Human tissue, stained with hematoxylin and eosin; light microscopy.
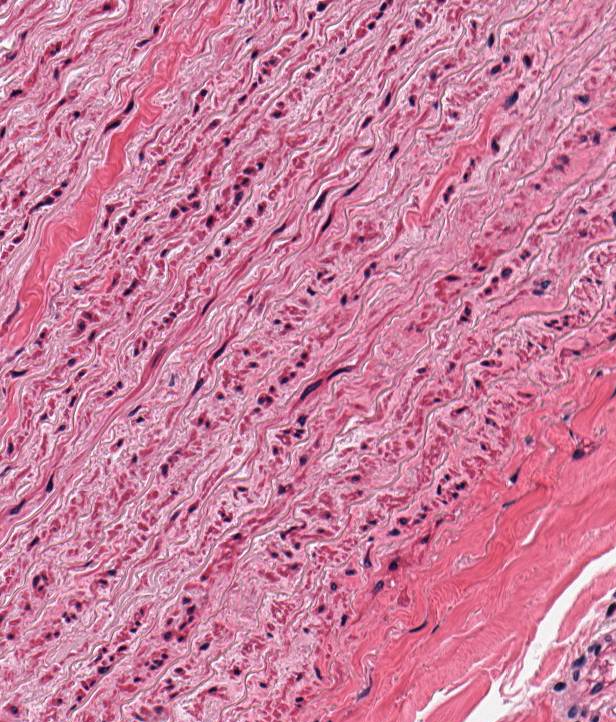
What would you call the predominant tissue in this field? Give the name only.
tunica media of an artery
